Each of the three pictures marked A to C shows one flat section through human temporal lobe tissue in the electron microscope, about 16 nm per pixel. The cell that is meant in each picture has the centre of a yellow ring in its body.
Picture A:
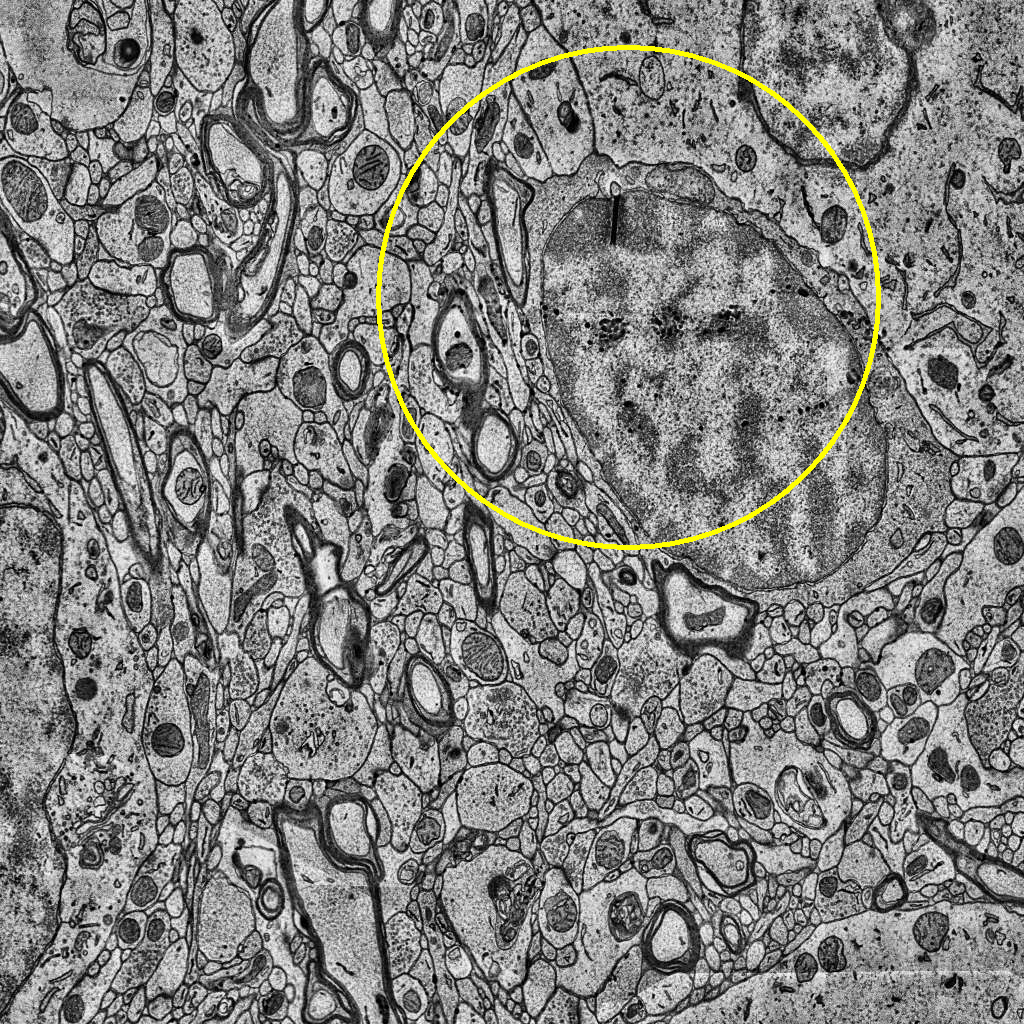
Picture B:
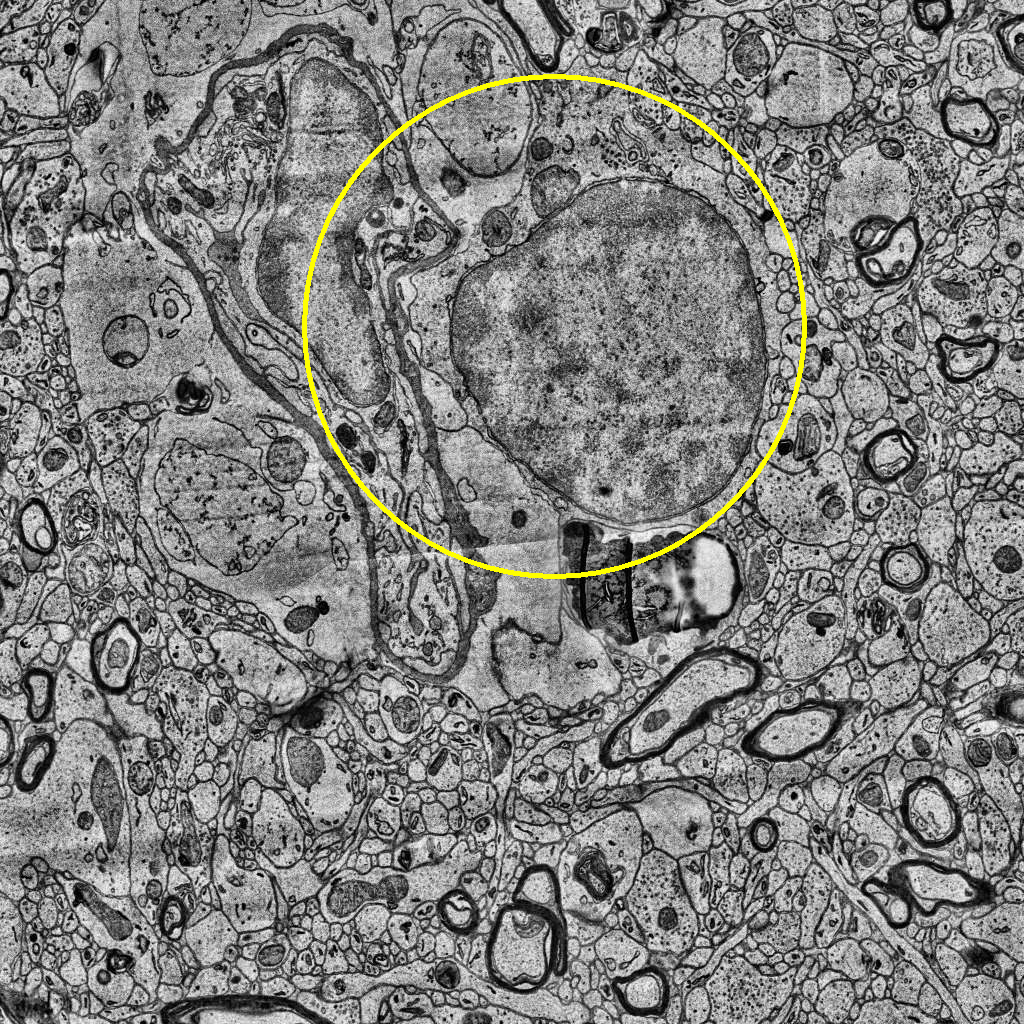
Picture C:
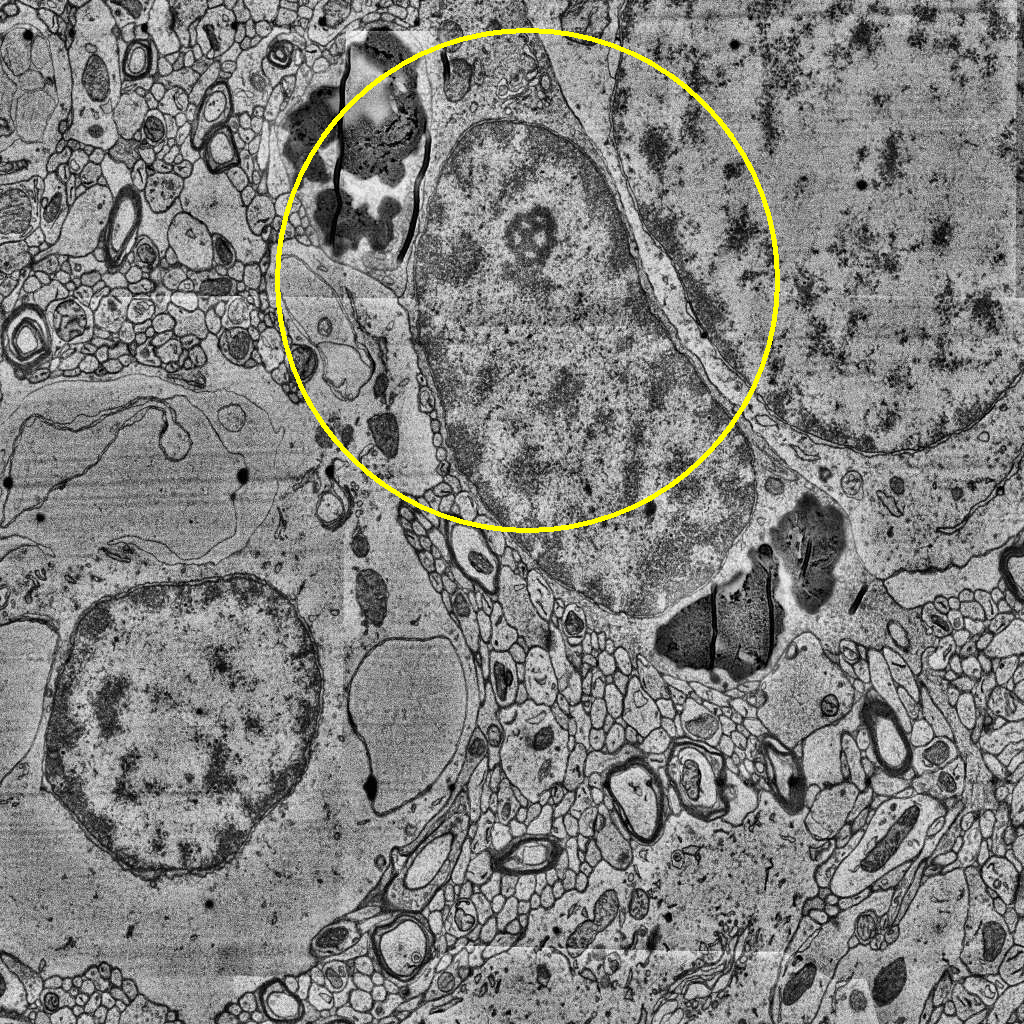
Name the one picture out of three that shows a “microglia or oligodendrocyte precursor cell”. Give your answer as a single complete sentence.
The cell in picture C is the “microglia or oligodendrocyte precursor cell”.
